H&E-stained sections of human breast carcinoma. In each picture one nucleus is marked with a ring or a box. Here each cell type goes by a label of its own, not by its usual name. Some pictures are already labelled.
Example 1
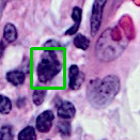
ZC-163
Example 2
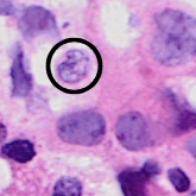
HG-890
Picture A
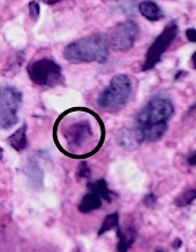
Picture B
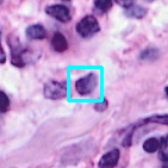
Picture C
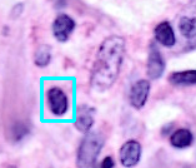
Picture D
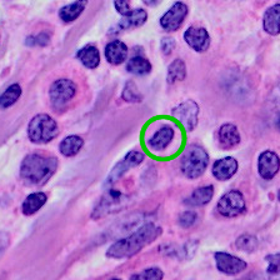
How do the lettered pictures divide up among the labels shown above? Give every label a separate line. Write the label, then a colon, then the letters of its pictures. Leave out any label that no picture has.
ZC-163: B, C, D
HG-890: A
